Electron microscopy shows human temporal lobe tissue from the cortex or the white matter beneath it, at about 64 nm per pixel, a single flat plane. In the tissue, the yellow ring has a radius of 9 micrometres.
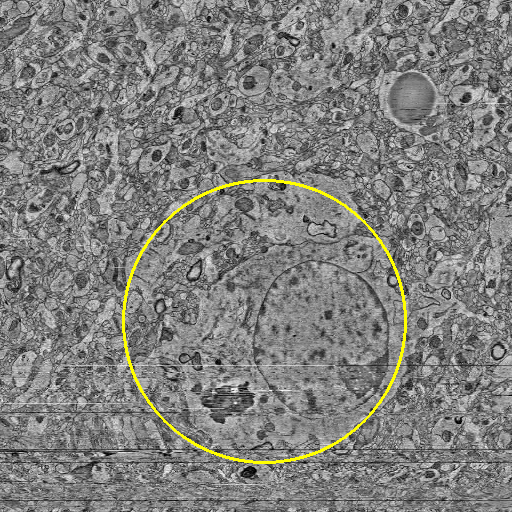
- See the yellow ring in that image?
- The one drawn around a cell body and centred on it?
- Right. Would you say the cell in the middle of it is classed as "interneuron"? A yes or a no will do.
no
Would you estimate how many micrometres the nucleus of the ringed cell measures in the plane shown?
About 10 by 9 micrometers, in this plane.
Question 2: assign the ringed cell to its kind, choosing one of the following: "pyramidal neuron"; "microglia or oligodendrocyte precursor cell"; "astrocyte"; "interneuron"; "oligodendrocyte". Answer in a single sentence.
As it turns out, the cell at the ring centre is an astrocyte.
